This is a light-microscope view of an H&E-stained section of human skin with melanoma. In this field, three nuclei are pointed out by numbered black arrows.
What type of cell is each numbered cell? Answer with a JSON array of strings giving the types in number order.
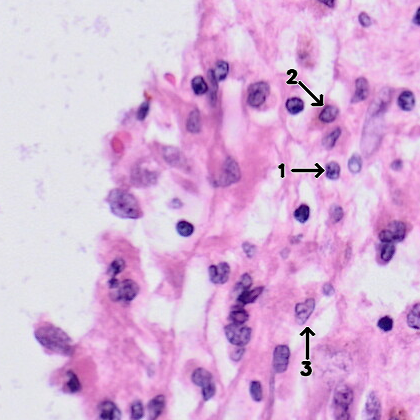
["lymphocyte", "macrophage or monocyte", "macrophage or monocyte"]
